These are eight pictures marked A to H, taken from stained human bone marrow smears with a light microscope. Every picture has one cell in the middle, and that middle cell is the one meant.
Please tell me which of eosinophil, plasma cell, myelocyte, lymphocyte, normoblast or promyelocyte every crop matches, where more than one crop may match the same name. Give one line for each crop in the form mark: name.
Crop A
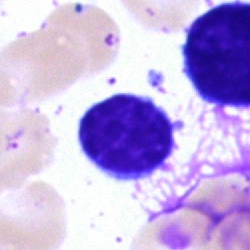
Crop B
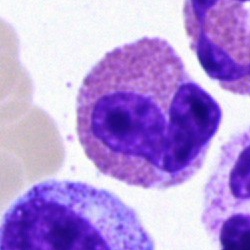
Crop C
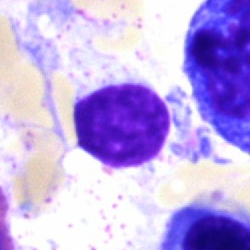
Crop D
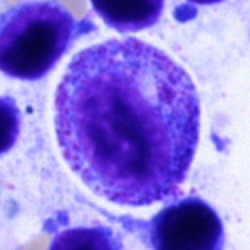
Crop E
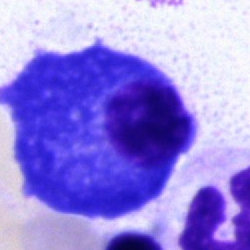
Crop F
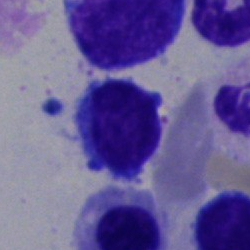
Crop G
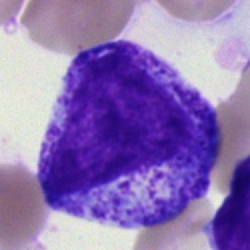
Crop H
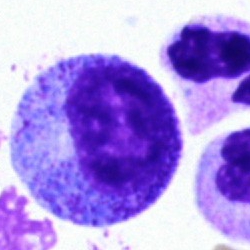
A: lymphocyte
B: eosinophil
C: lymphocyte
D: promyelocyte
E: plasma cell
F: lymphocyte
G: promyelocyte
H: promyelocyte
